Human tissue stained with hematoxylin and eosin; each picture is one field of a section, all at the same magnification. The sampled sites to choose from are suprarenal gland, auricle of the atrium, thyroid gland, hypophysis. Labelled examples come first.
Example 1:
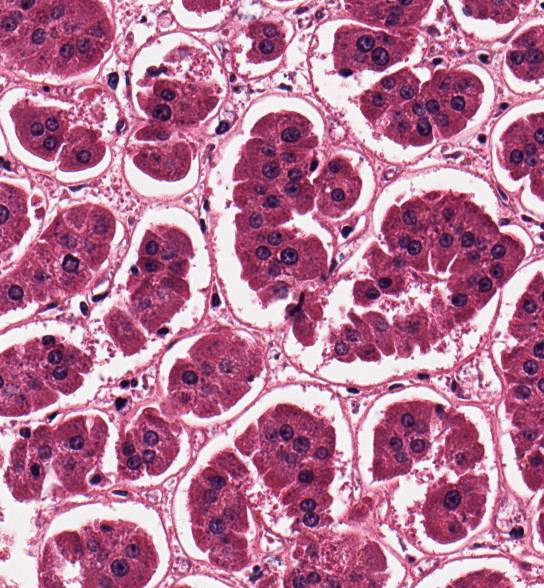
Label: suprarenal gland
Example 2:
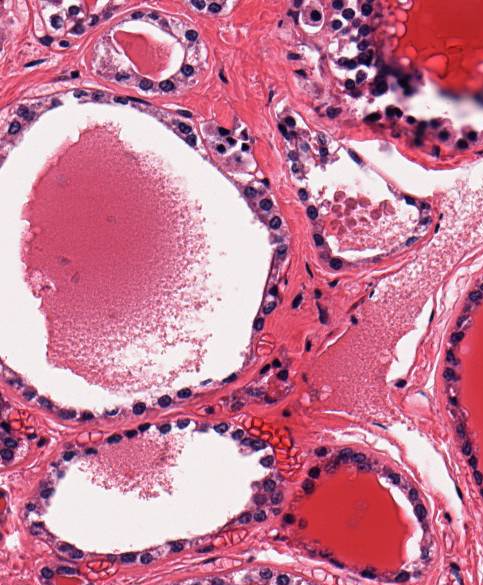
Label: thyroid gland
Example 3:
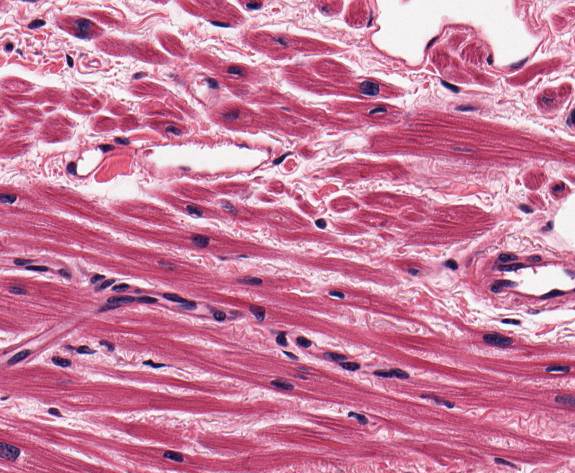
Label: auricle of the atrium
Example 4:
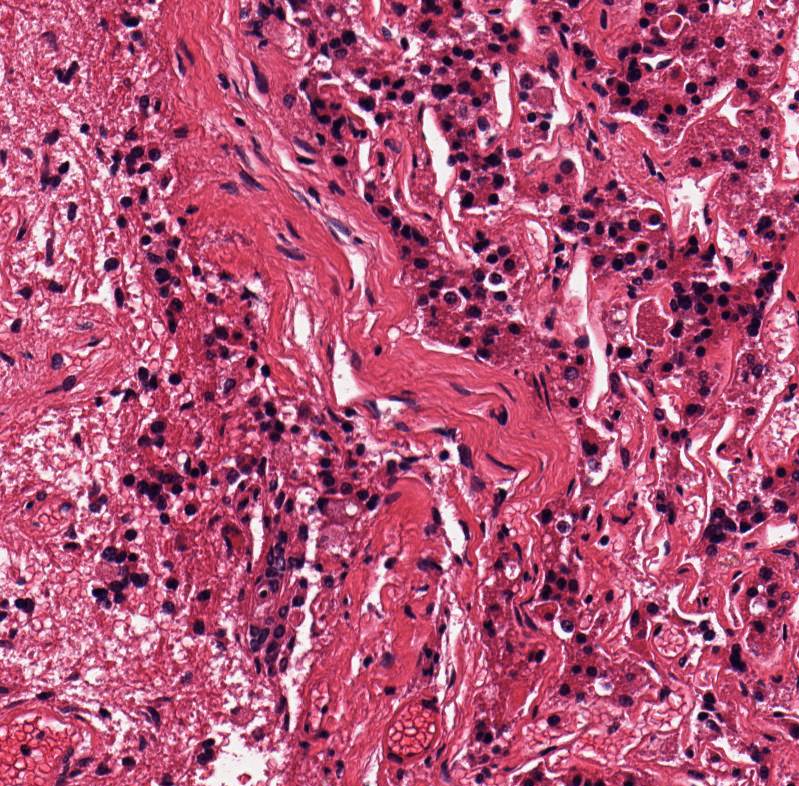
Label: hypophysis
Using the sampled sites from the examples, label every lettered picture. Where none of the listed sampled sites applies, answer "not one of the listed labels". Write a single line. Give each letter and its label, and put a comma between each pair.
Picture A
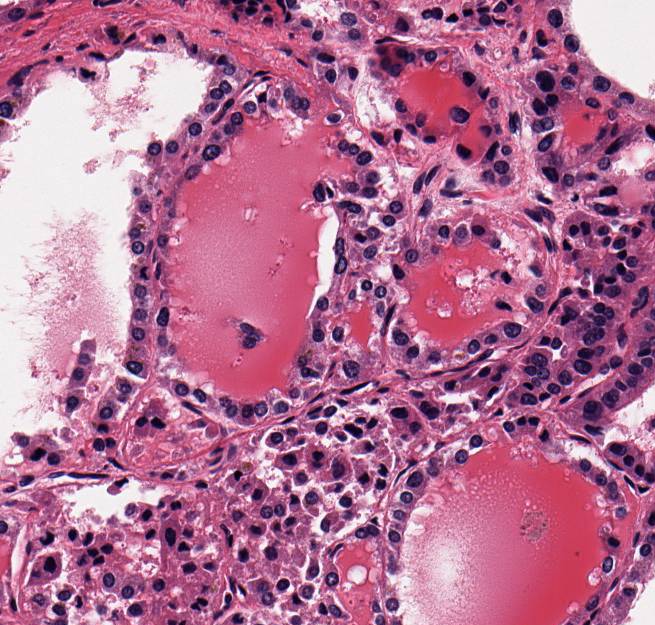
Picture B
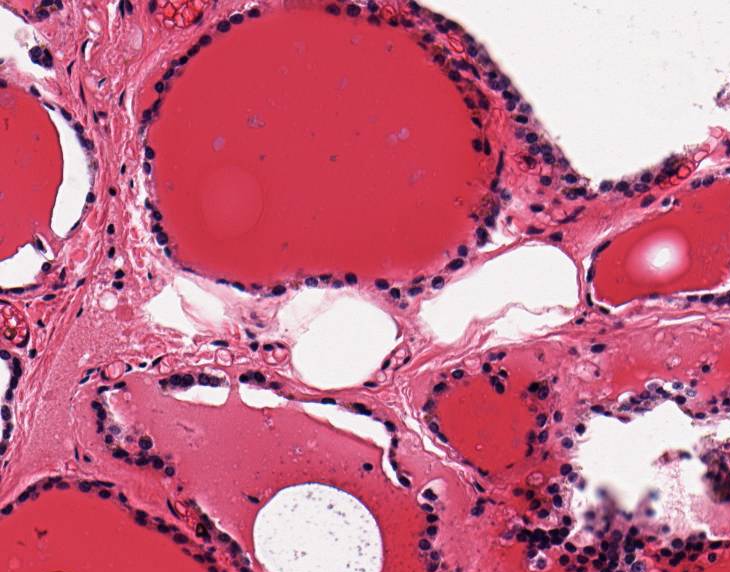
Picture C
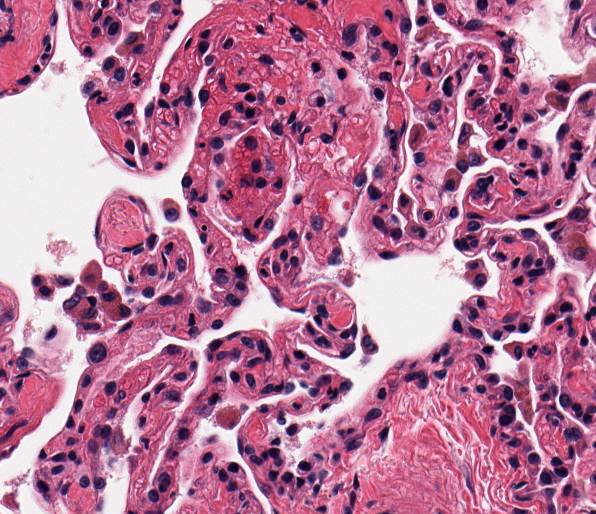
A thyroid gland, B thyroid gland, C not one of the listed labels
